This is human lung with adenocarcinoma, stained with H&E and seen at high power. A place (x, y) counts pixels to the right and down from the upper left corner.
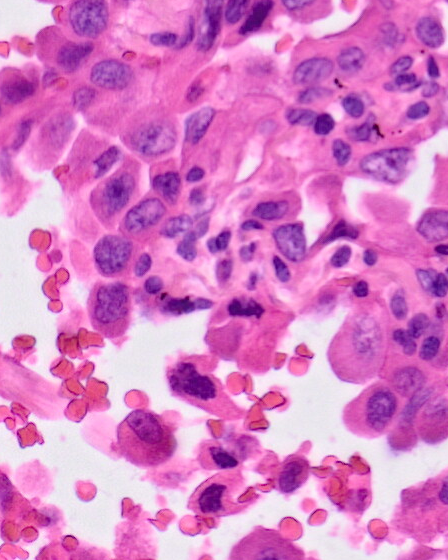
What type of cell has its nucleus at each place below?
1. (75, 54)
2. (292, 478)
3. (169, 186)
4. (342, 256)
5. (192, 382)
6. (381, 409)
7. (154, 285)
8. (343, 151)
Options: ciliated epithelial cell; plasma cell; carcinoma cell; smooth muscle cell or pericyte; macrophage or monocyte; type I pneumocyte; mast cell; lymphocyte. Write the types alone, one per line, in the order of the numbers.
carcinoma cell
macrophage or monocyte
carcinoma cell
lymphocyte
carcinoma cell
carcinoma cell
lymphocyte
lymphocyte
